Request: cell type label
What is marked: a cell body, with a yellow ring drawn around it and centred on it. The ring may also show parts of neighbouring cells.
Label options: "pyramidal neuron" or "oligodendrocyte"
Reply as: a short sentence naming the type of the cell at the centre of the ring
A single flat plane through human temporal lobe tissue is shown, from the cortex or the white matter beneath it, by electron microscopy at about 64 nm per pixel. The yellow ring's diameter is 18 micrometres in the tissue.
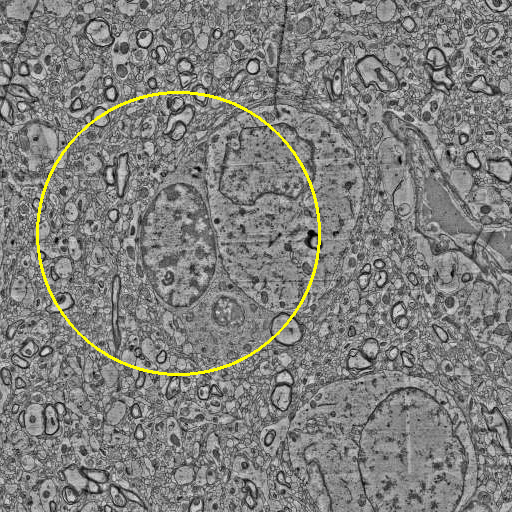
The marked cell body is that of an oligodendrocyte.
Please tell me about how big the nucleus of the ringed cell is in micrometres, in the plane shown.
In this plane the nucleus is clearly longer than it is wide, at approximately 8 by 5 micrometres.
